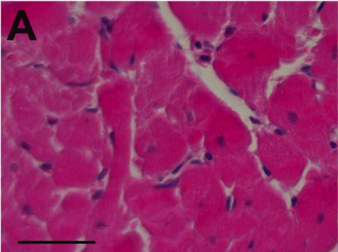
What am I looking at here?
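This section of heart muscle shows cardiac myocytes cut largely in cross section, appearing as large polygonal profiles with bright pink cytoplasm. The cells are packed closely, separated by narrow pale clefts of interstitial space. Small, dark, elongated nuclei sit in these spaces between the myocytes, belonging to interstitial cells and capillary walls. The cytoplasm looks fairly uniform and finely textured.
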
